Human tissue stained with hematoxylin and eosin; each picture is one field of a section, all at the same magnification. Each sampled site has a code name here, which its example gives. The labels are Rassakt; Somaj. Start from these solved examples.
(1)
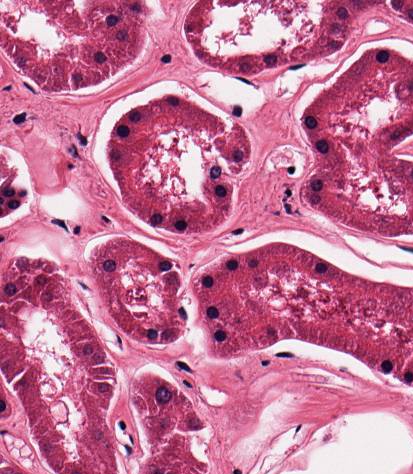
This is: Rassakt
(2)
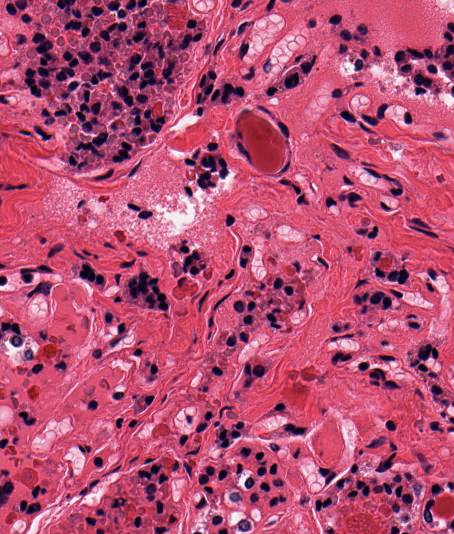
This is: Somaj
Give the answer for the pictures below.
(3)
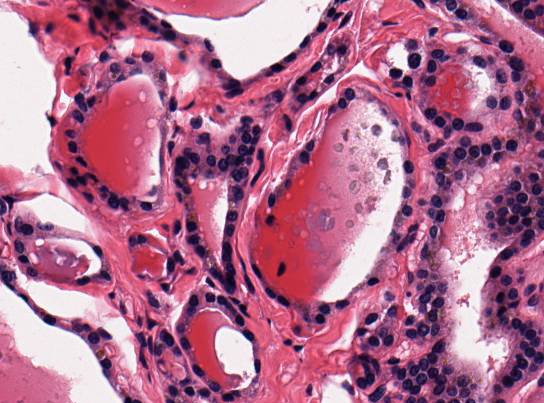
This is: Somaj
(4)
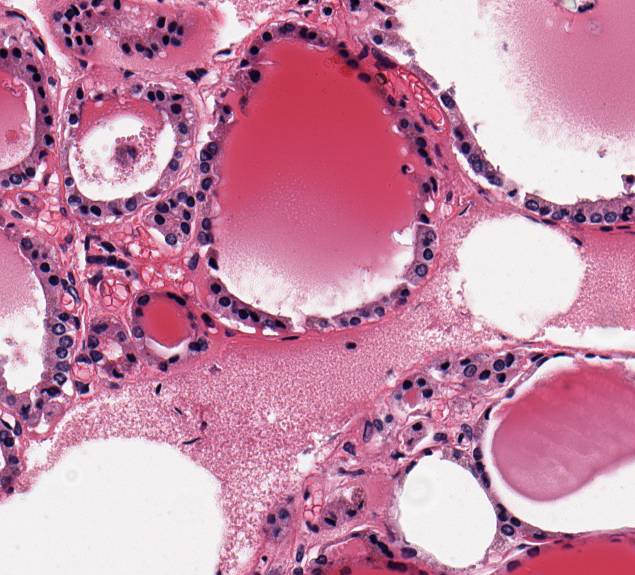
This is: Somaj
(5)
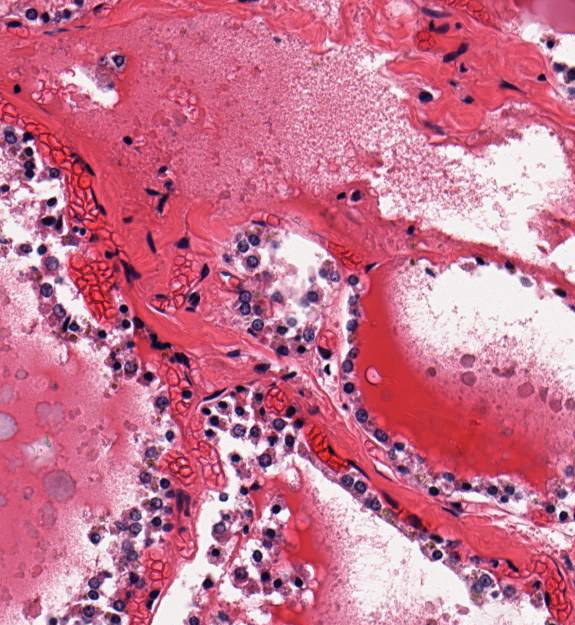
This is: Somaj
